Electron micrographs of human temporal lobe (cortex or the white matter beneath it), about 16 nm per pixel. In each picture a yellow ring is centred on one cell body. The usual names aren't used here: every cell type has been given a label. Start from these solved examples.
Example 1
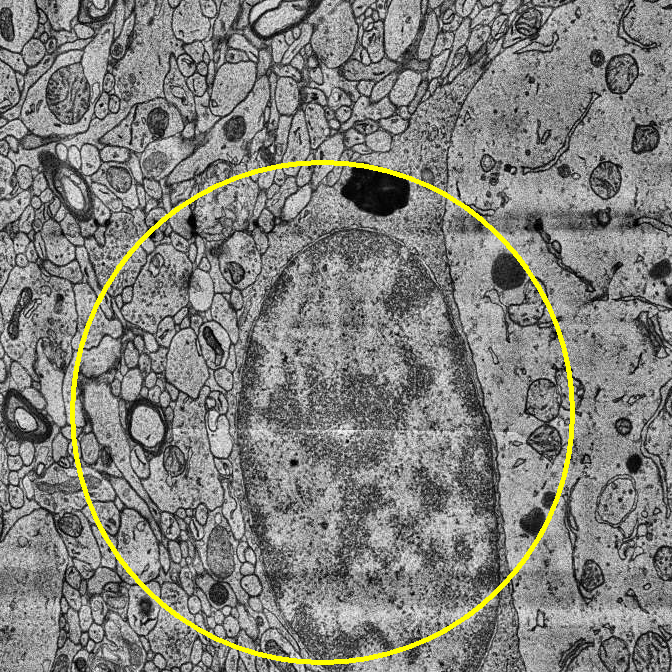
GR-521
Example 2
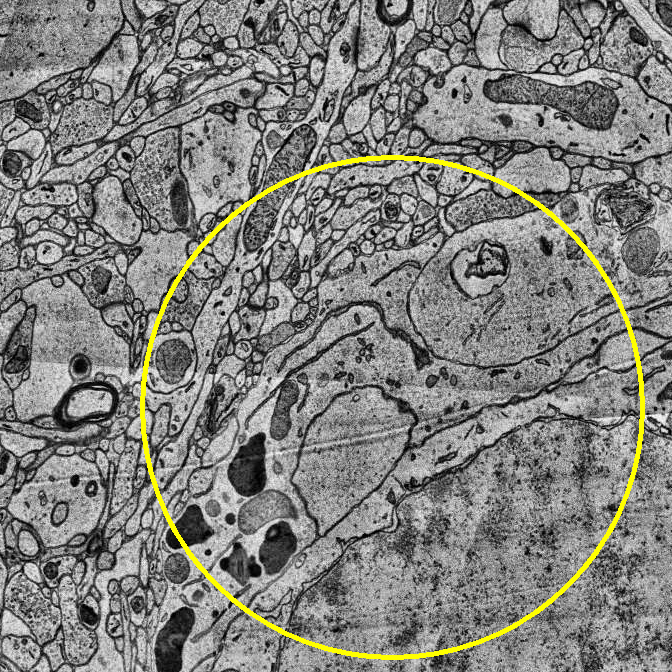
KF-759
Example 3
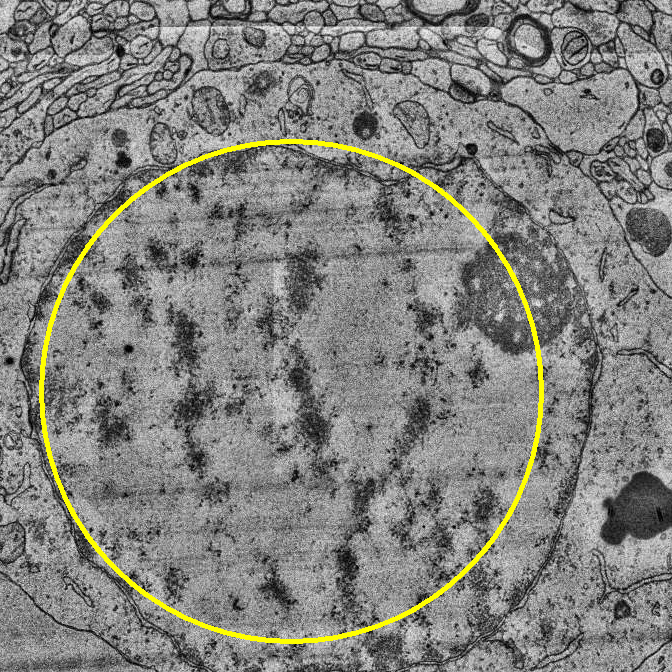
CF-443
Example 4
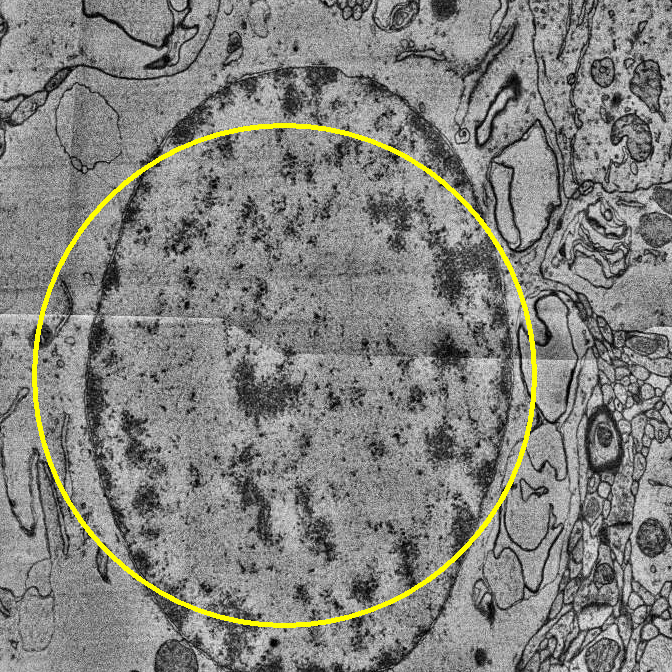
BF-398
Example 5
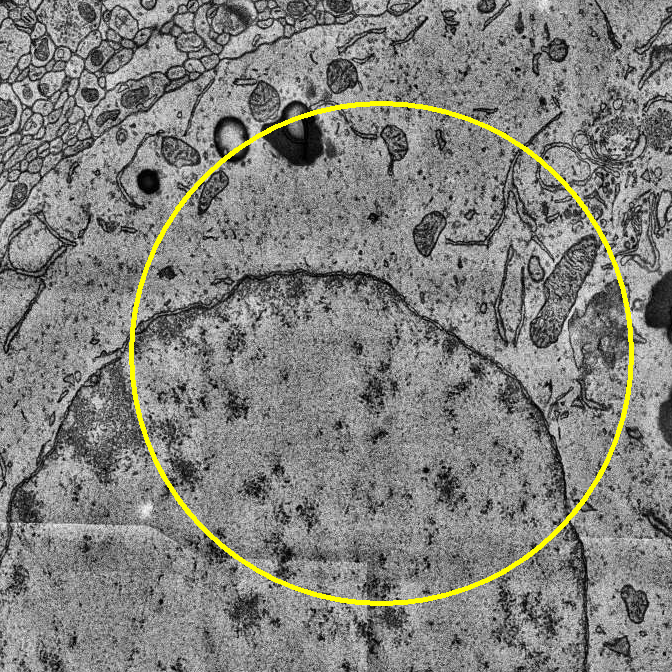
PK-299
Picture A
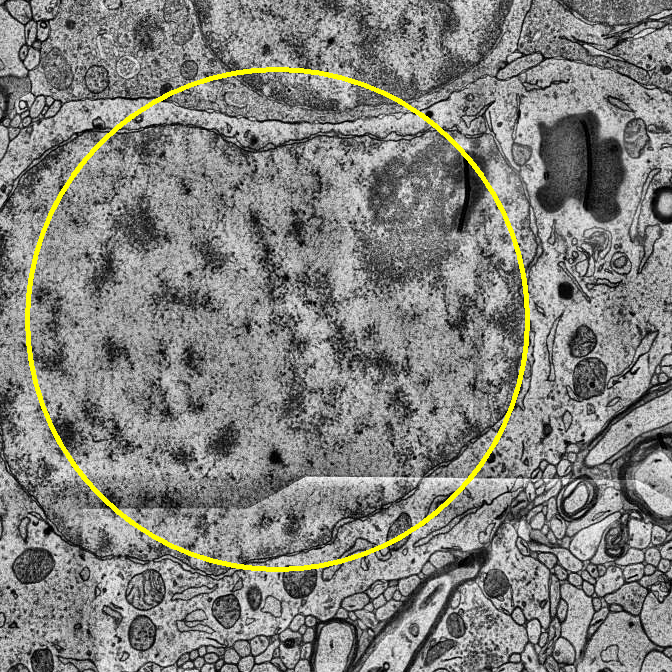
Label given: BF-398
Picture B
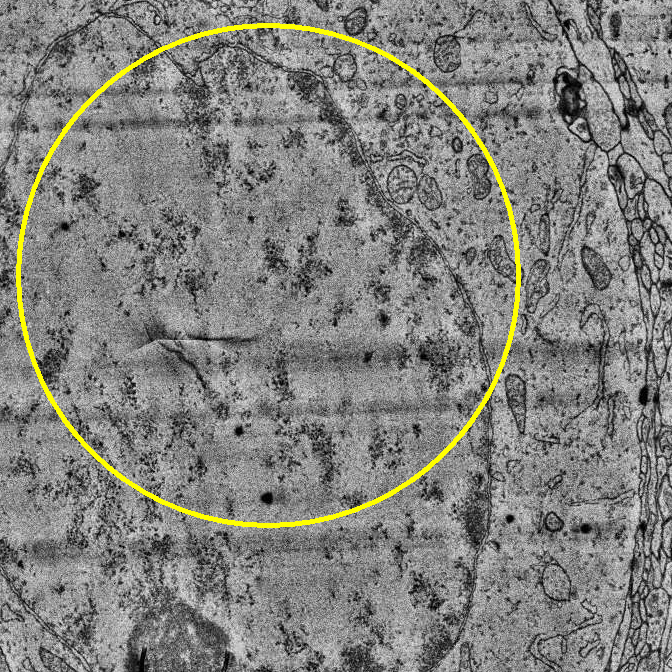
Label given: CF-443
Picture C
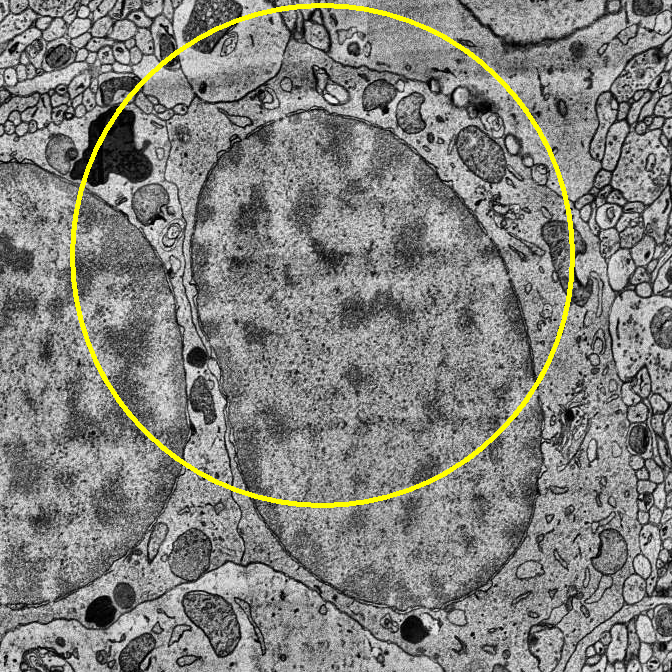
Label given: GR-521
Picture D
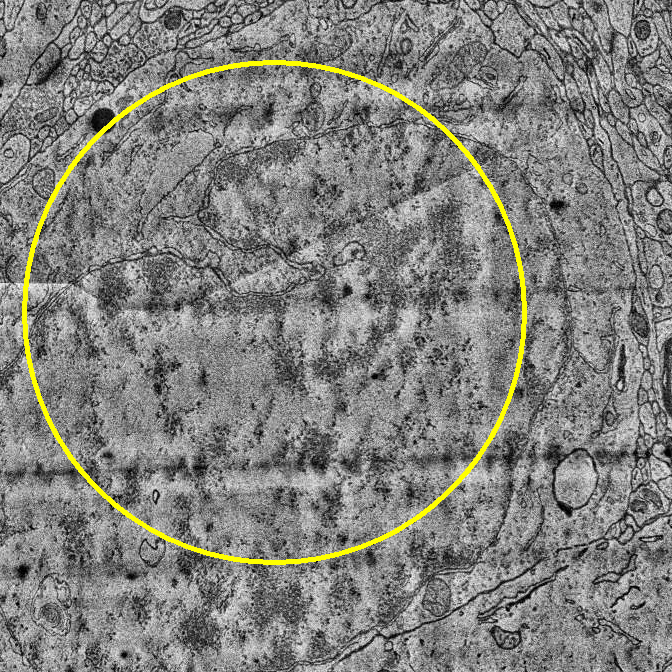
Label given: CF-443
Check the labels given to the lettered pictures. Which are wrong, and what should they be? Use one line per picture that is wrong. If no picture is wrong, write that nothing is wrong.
Wrong: A (BF-398); correct: CF-443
